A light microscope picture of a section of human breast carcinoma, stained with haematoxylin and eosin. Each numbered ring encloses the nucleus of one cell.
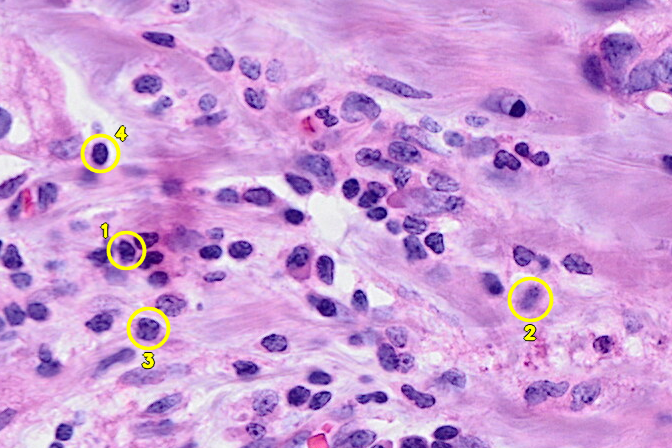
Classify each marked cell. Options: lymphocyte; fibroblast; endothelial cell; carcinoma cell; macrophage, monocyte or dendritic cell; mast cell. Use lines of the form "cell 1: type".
cell 1: lymphocyte
cell 2: mast cell
cell 3: lymphocyte
cell 4: lymphocyte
